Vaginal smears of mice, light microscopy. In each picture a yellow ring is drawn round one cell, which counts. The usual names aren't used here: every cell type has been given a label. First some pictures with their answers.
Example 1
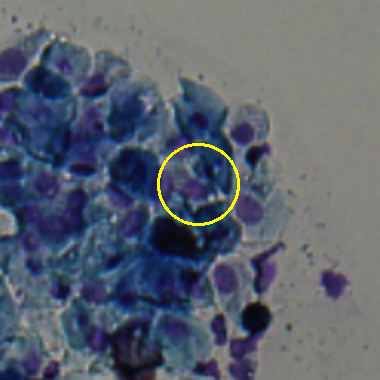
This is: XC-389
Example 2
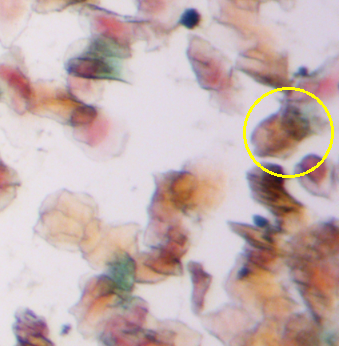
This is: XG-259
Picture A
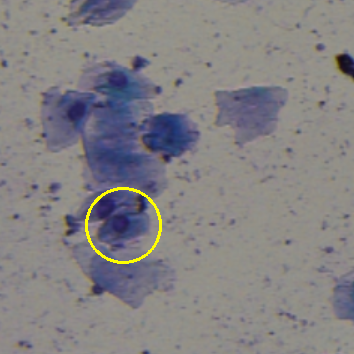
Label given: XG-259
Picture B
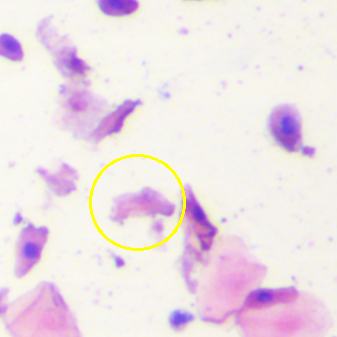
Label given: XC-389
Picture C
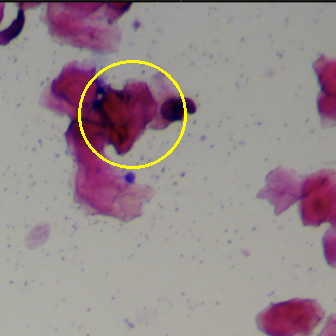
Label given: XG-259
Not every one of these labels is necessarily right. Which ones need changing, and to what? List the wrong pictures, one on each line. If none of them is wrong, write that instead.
A: not XG-259 but XC-389
B: not XC-389 but XG-259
